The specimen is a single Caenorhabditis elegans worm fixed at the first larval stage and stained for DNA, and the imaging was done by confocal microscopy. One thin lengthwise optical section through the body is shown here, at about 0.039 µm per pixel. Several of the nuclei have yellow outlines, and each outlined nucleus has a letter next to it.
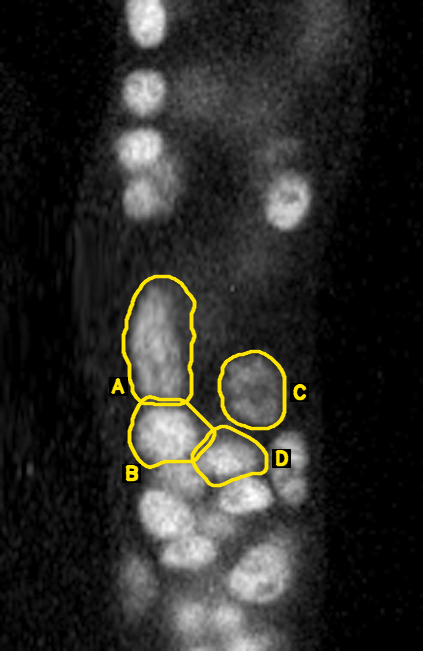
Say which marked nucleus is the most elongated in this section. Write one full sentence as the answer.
Nucleus A is the longest relative to its width.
